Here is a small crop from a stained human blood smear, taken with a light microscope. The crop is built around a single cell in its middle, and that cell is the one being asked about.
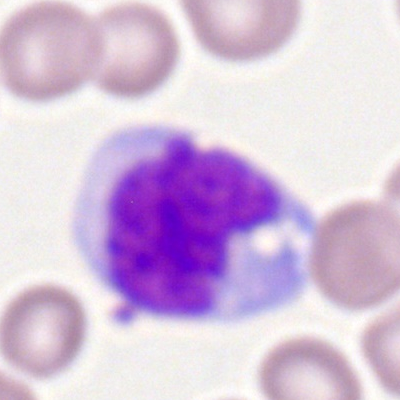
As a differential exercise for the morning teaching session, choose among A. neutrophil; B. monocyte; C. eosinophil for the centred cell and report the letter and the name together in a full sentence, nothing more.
The cell at the centre, correctly named in option B, is a monocyte.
